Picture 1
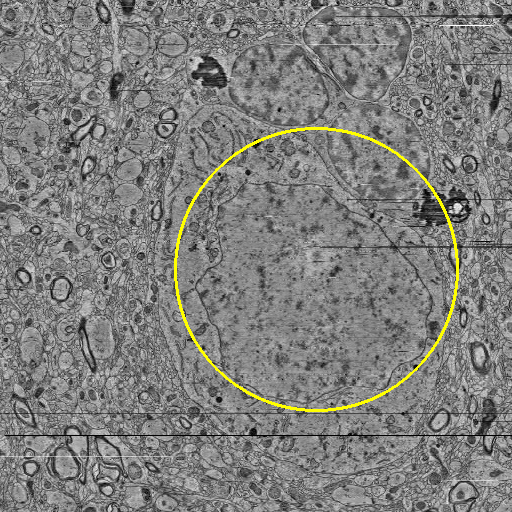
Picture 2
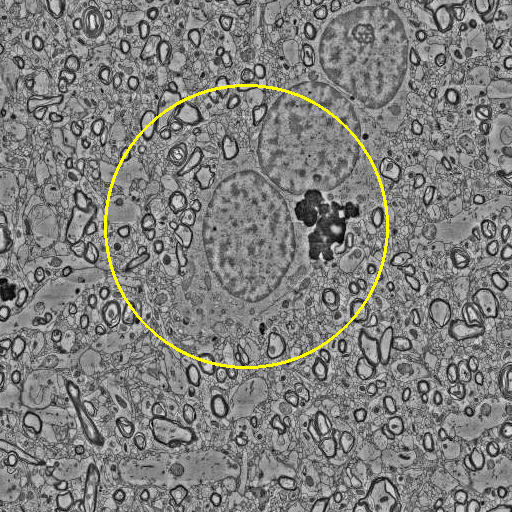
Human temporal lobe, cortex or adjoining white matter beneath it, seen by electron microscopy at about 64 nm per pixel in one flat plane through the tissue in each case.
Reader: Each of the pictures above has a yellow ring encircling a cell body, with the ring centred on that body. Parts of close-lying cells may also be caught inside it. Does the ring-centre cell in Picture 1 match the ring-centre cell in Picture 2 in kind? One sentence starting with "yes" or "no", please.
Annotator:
No, Picture 1 and Picture 2 show ring-centre cells of two kinds.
